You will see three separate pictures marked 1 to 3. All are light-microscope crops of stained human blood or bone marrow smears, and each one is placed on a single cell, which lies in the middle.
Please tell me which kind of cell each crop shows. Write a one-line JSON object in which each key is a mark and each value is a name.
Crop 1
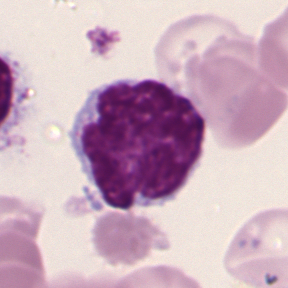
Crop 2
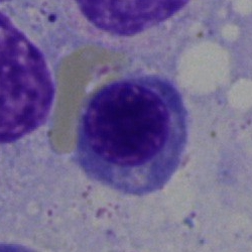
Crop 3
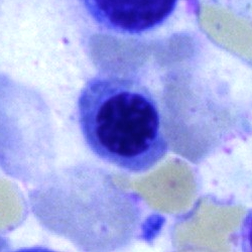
{"1": "lymphocyte", "2": "erythroblast", "3": "erythroblast"}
